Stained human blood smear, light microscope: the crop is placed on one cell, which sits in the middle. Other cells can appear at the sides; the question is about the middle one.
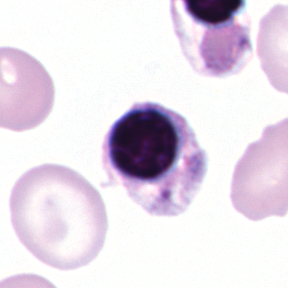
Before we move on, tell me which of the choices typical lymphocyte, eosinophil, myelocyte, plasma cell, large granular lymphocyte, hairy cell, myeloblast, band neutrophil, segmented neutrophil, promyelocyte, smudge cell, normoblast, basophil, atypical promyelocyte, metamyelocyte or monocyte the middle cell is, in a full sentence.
As for the cell in the middle, it is a normoblast.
